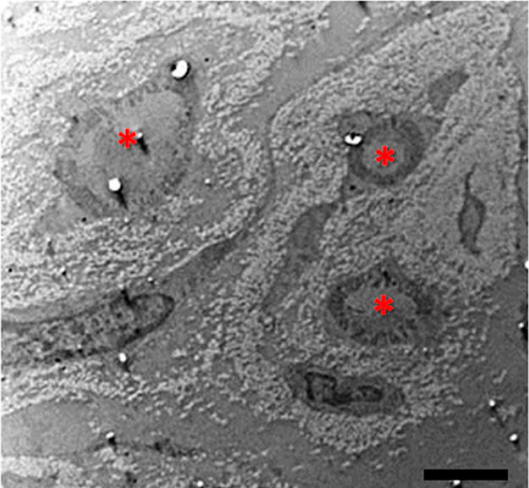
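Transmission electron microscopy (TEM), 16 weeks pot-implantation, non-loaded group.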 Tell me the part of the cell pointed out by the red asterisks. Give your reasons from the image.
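The asterisks sit in round profiles cut in cross-section. Two of the marked profiles are ringed by a dark band. That points to this answer: axons.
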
